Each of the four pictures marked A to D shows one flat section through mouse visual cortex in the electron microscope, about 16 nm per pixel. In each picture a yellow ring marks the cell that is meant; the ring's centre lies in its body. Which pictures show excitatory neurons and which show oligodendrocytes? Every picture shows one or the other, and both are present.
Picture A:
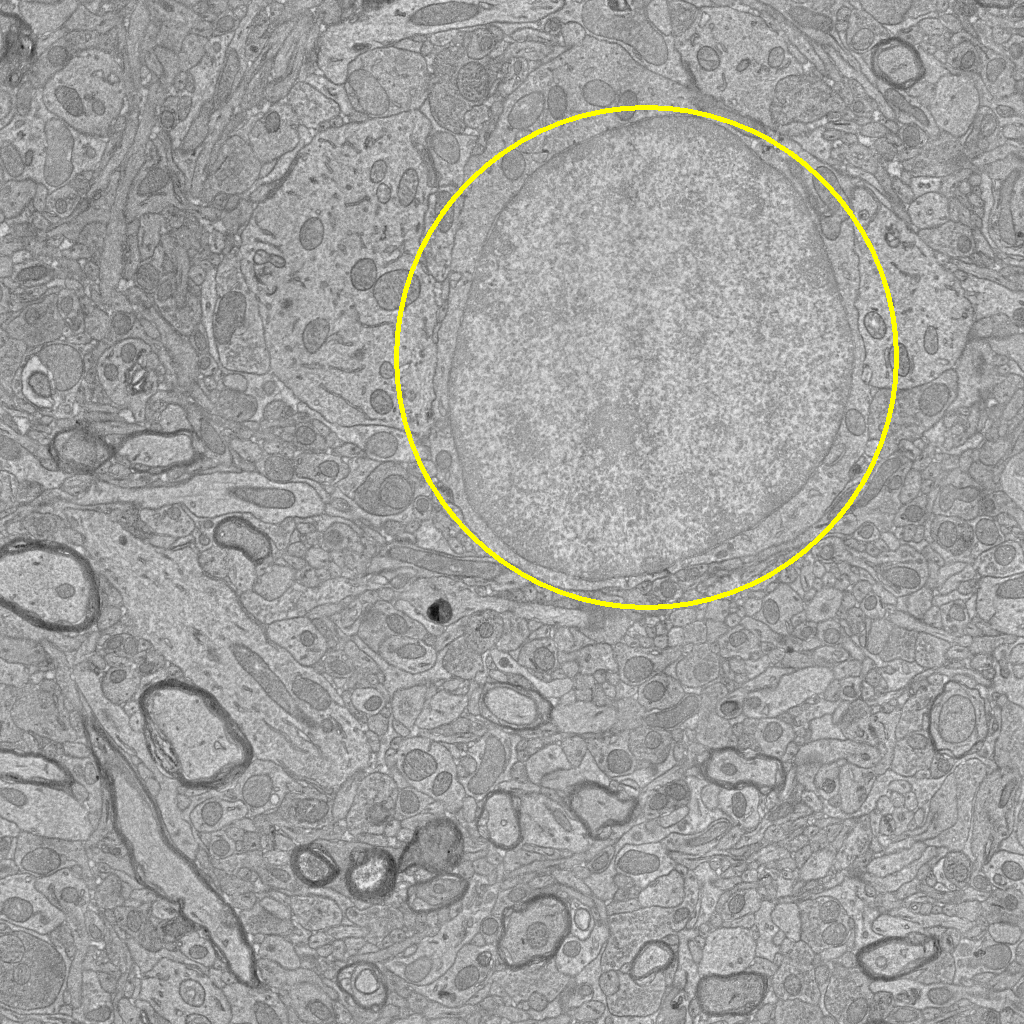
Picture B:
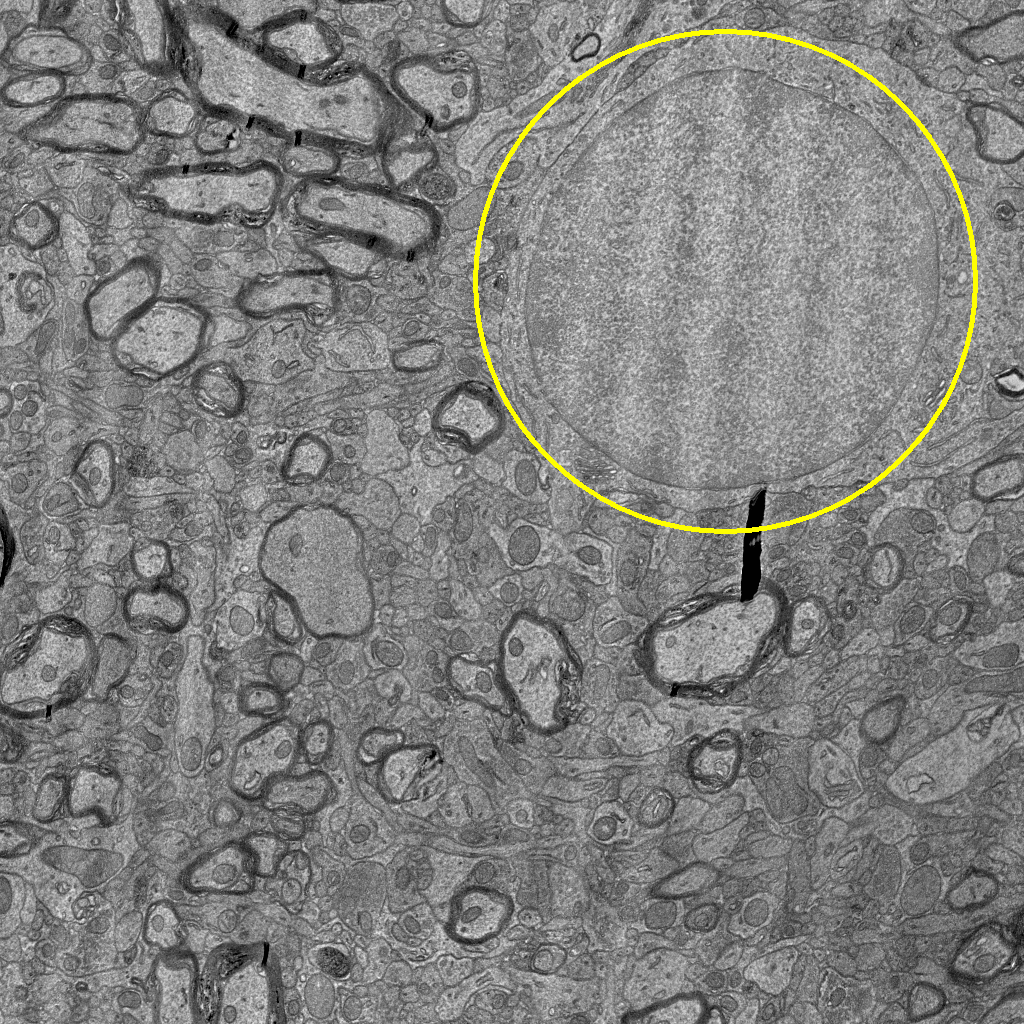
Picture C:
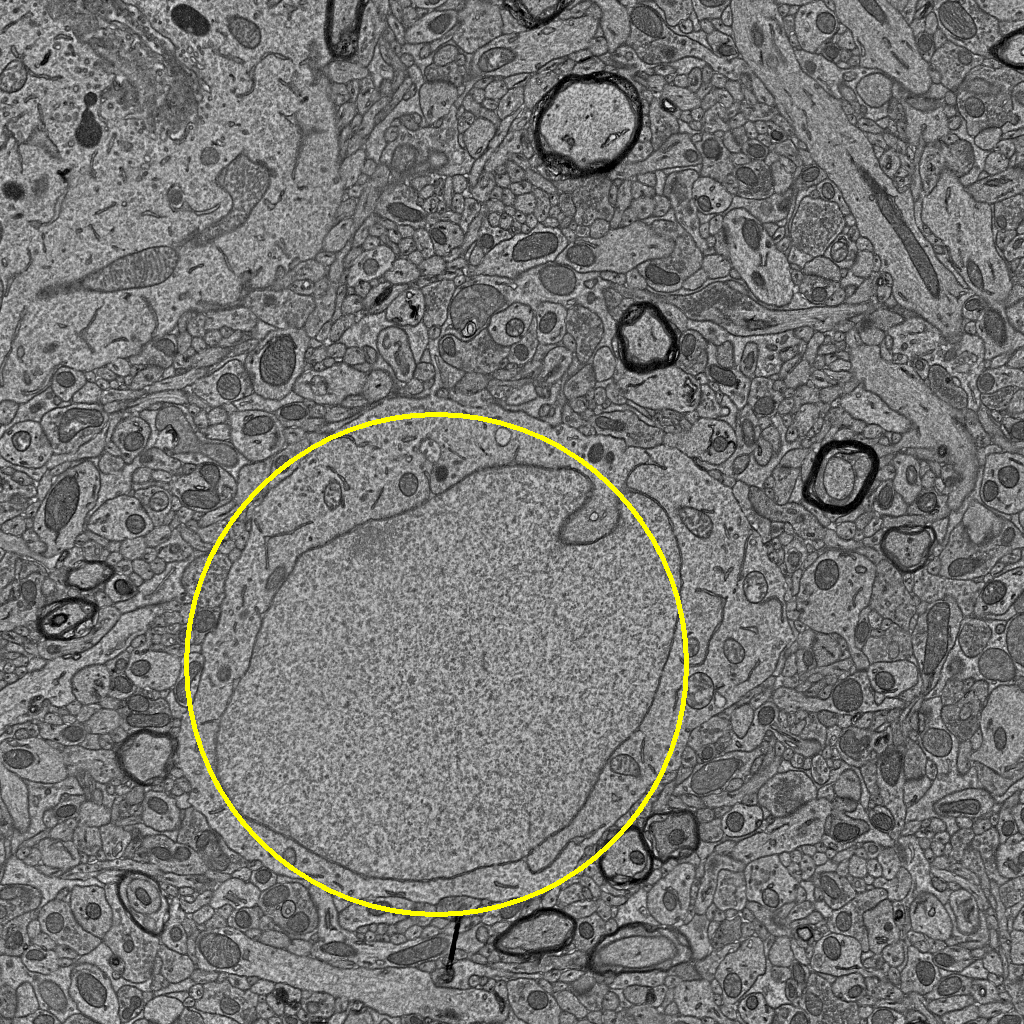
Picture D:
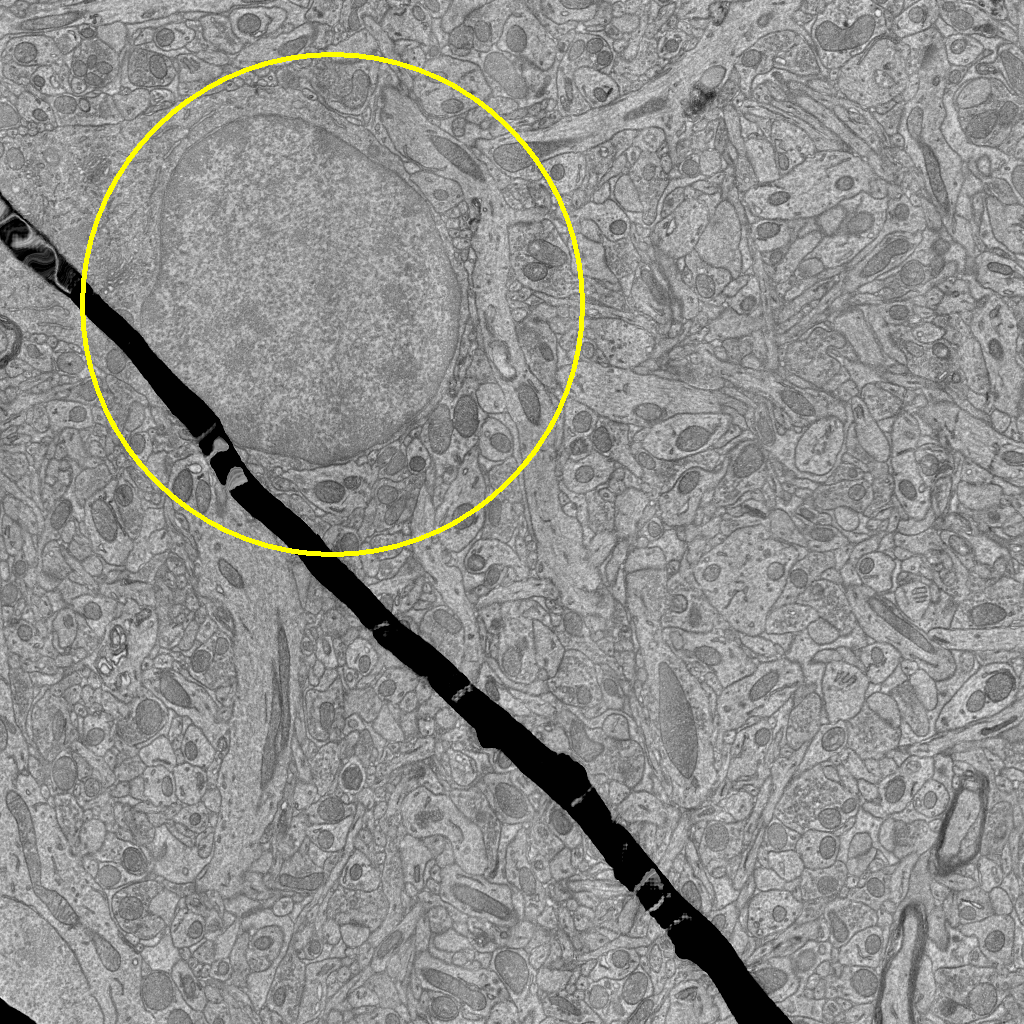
Picture C shows an excitatory neuron, while pictures A, B and D show oligodendrocytes.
